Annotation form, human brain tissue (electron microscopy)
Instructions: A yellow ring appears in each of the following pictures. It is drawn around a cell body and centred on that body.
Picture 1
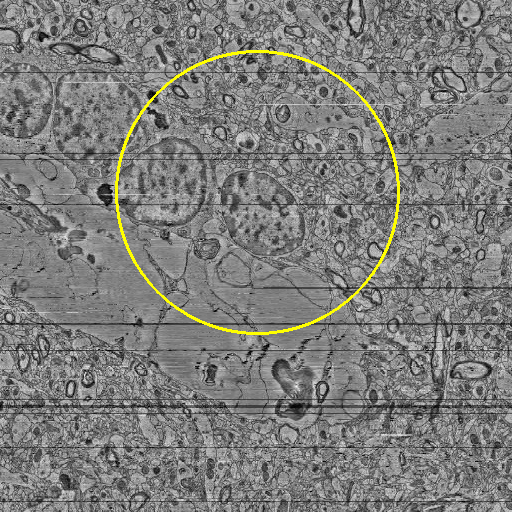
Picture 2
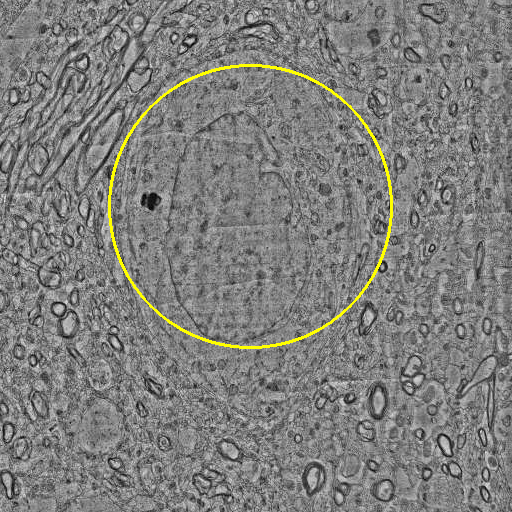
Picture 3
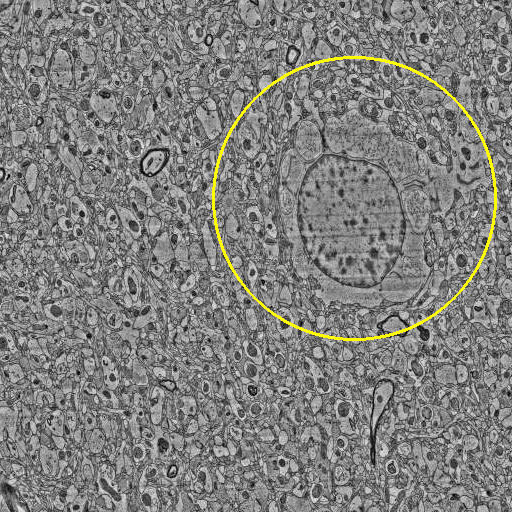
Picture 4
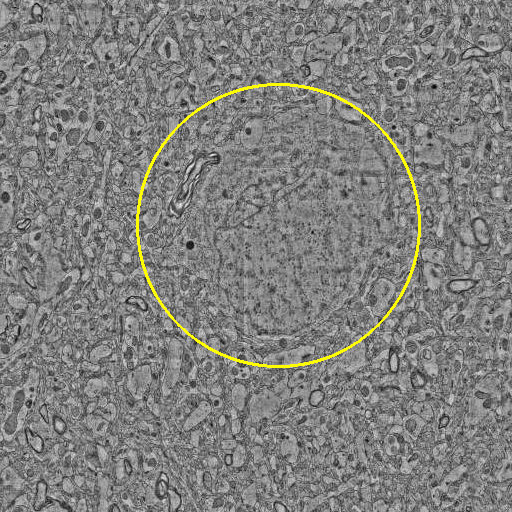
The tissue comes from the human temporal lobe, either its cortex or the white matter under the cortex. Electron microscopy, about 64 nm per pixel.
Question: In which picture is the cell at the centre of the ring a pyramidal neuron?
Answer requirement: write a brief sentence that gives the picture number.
The cell at the centre of the ring in Picture 2 is the one asked for.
